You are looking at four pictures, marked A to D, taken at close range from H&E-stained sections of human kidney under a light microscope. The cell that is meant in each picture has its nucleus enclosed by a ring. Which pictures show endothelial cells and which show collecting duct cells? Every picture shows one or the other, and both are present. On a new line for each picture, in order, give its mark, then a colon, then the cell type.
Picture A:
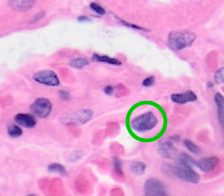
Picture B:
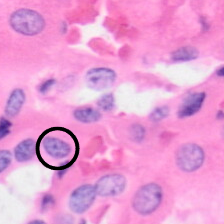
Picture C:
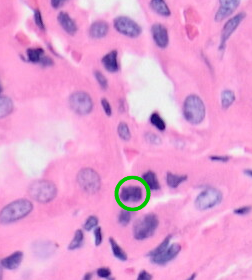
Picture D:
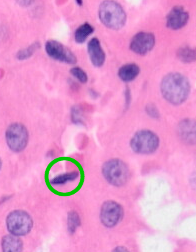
A: endothelial cell
B: collecting duct cell
C: collecting duct cell
D: endothelial cell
